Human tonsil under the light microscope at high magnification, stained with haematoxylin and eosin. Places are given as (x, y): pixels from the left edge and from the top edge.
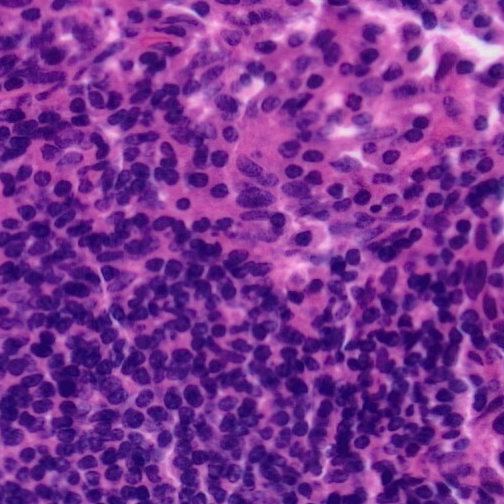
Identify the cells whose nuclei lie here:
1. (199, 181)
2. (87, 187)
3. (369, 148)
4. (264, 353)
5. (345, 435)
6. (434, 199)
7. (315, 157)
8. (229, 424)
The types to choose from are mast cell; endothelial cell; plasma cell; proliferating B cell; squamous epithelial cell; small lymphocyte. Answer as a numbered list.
1. plasma cell
2. small lymphocyte
3. plasma cell
4. small lymphocyte
5. small lymphocyte
6. small lymphocyte
7. plasma cell
8. small lymphocyte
